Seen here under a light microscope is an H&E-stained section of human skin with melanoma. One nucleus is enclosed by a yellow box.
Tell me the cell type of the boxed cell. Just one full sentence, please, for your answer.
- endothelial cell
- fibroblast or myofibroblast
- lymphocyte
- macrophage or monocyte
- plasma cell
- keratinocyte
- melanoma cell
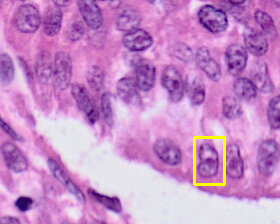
Students should answer that the boxed cell is a melanoma cell.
